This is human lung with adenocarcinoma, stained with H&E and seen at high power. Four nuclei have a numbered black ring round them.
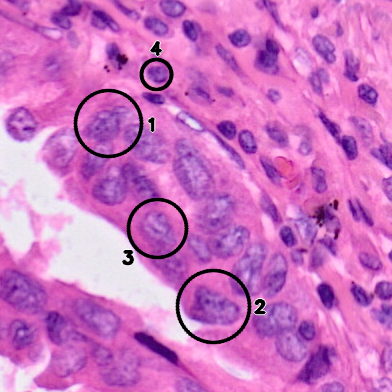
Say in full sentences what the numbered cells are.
Cell 1 is a carcinoma cell, cell 2 is a carcinoma cell, cell 3 is a carcinoma cell and cell 4 is a plasma cell.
